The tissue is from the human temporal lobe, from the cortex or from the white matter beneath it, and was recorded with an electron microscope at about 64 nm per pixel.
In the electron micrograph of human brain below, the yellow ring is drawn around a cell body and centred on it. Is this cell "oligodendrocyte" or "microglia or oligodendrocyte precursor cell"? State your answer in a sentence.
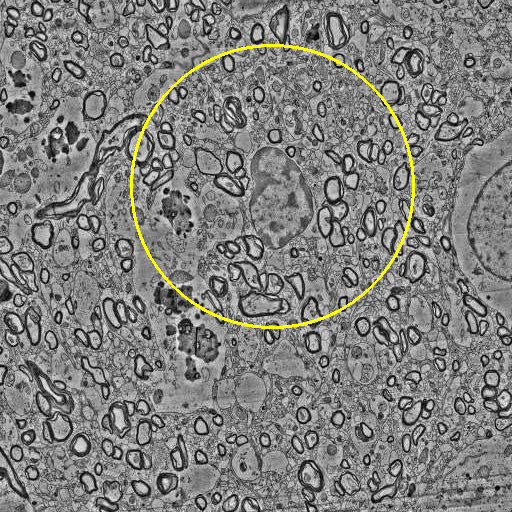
The cell in the middle of the ring is a microglial cell or oligodendrocyte precursor cell.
